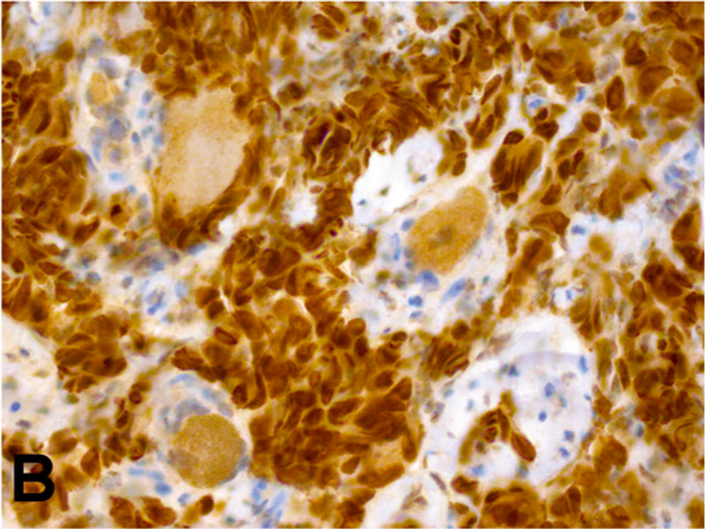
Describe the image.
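Tumor cells with irregular, crowded nuclei are strongly stained brown and surround large, paler ganglion cells with only faint brown cytoplasm. The small cells of the background have blue, unstained nuclei.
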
